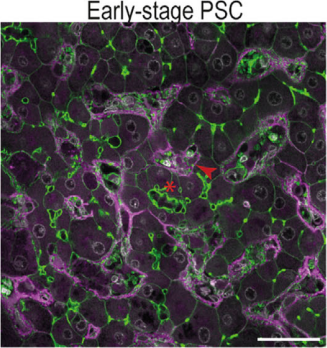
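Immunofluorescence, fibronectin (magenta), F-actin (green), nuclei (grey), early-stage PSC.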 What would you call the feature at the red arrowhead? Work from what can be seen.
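A narrow channel outlined by magenta signal. The channel runs between plates of large polygonal cells. The answer: sinusoids.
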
